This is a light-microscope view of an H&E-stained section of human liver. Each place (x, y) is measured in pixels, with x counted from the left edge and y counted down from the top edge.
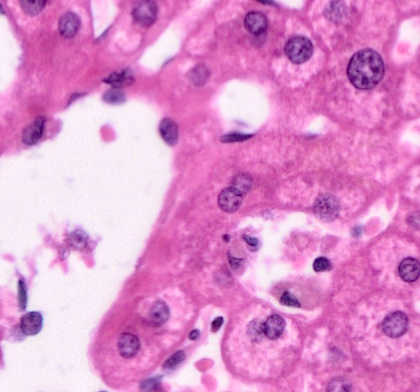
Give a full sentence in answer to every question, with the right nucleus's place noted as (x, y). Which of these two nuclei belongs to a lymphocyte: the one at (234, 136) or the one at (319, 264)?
The nucleus at (319, 264) belongs to a lymphocyte, which distinguishes it from the other nucleus.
